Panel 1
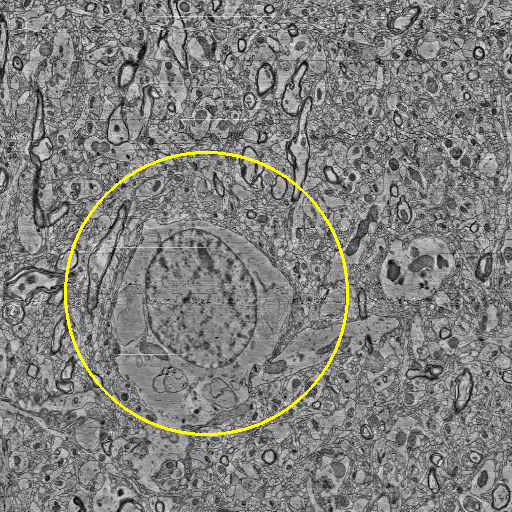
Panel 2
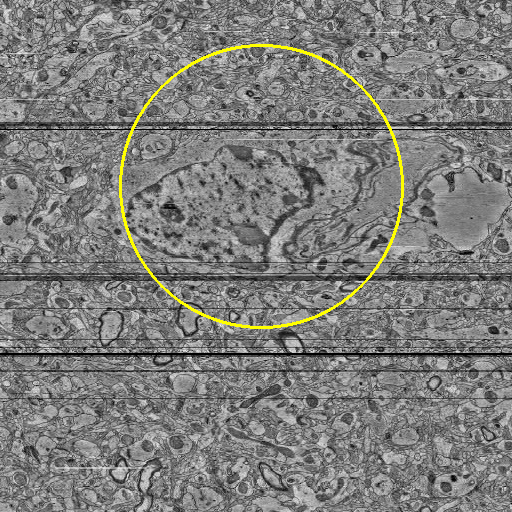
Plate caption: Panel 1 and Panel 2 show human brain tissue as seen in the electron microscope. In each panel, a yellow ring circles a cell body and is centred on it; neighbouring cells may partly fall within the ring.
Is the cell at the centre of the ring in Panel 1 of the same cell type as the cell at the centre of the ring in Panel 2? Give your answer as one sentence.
No, the two cells are of two types.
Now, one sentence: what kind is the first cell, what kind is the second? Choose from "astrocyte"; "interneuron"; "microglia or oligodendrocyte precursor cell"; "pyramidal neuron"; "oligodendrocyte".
The first picture has an astrocyte at its ring centre, and the second has a microglial cell or oligodendrocyte precursor cell.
